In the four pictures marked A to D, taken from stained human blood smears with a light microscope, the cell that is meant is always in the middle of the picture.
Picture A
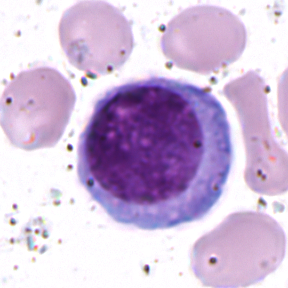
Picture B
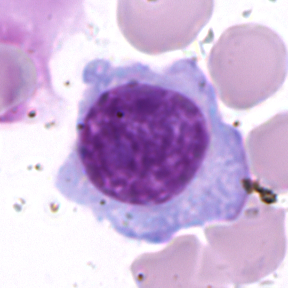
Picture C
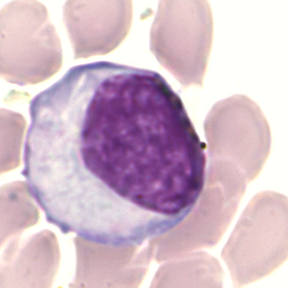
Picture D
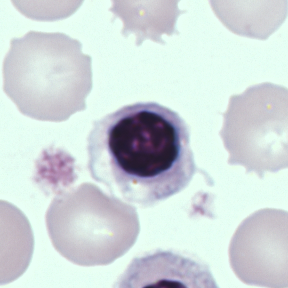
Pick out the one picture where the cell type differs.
D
